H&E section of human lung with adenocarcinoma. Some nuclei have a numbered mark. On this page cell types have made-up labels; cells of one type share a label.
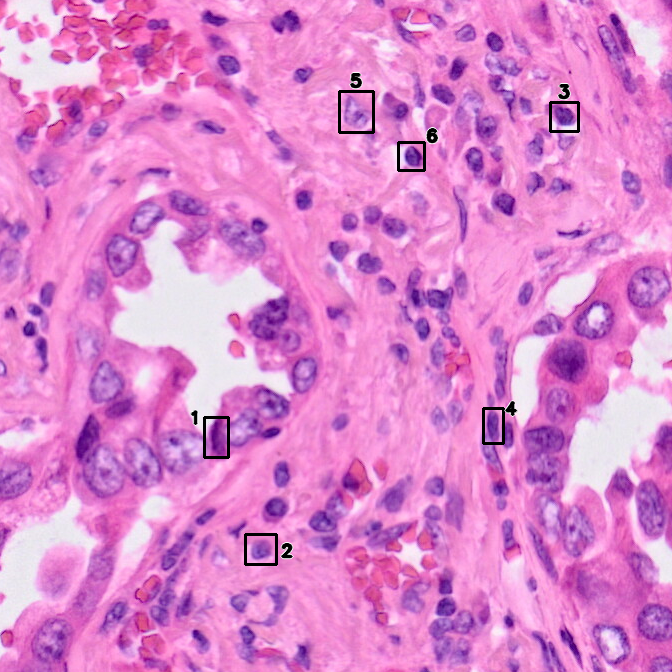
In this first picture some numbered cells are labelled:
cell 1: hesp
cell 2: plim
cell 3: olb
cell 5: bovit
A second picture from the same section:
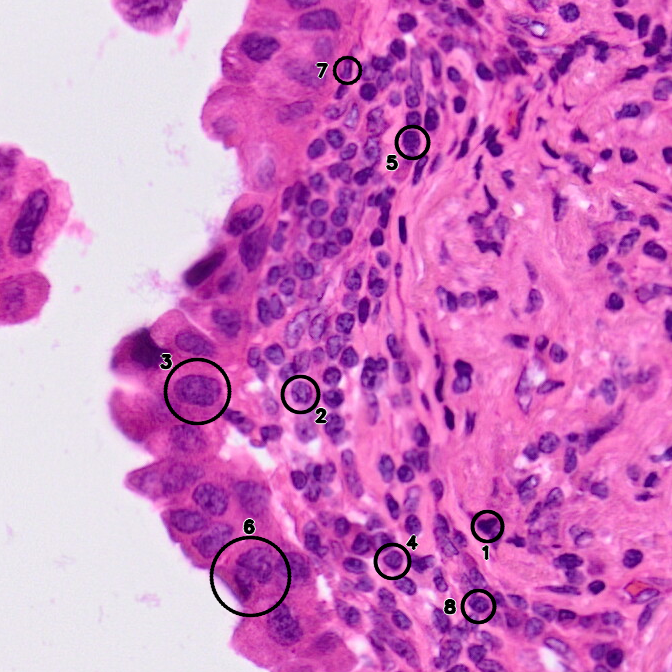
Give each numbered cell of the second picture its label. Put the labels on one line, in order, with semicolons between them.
olb; plim; hesp; plim; plim; hesp; plim; plim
